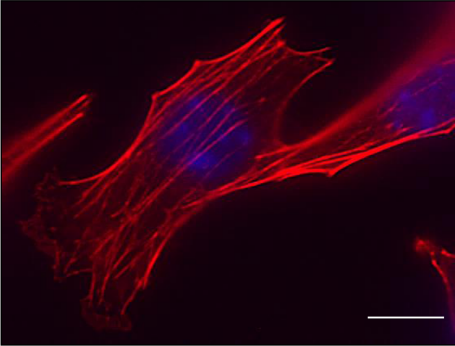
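Numerous straight, parallel red stress fibers cross its cytoplasm, many running lengthwise along the cell and ending at its corners and edges. The blue nucleus is oval and lies toward the middle of the cell, faint beneath the fibers. Parts of neighbouring spread cells with similar fibers appear at the edges of the field.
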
